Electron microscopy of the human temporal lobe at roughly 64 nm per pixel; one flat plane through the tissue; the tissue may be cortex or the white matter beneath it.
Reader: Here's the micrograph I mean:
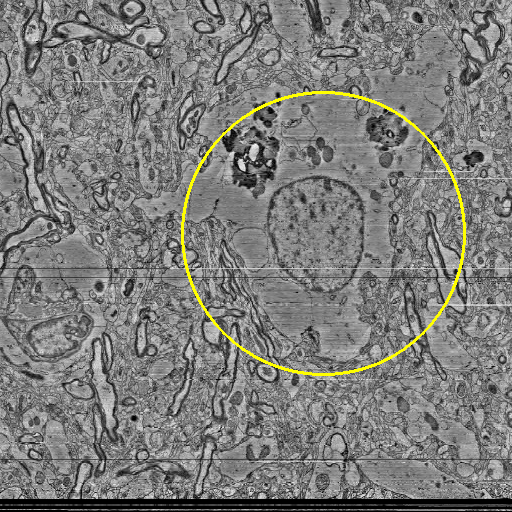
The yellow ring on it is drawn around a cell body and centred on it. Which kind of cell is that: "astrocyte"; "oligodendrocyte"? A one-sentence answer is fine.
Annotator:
The ring is centred on an astrocyte.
